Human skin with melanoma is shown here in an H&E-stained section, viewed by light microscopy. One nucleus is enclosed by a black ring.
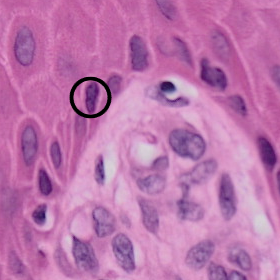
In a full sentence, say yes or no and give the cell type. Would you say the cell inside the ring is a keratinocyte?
Yes, the cell inside the ring corresponds to a keratinocyte in this tissue.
